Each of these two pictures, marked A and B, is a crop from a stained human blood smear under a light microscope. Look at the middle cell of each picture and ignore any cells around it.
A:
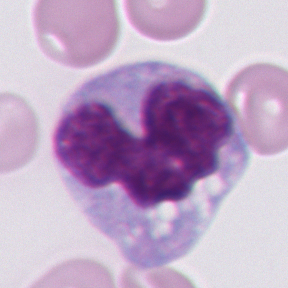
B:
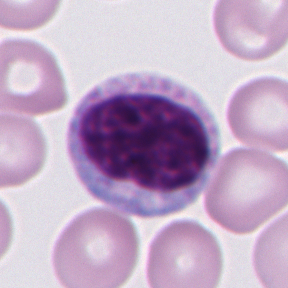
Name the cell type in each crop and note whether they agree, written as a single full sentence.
No, a monocyte is shown in crop A and a metamyelocyte in crop B.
